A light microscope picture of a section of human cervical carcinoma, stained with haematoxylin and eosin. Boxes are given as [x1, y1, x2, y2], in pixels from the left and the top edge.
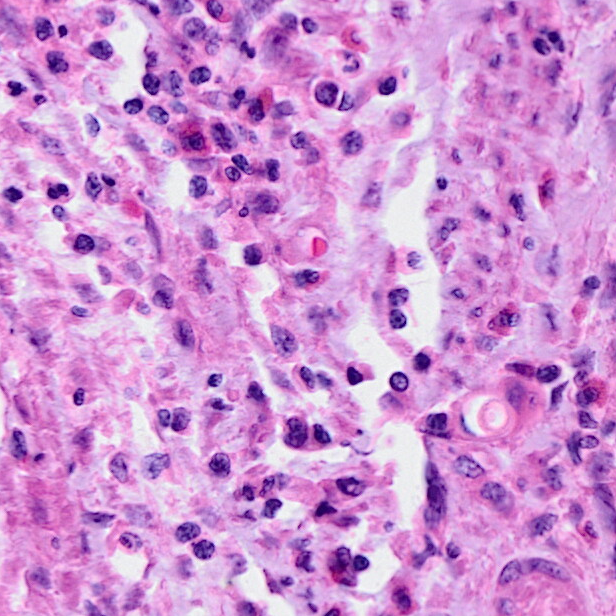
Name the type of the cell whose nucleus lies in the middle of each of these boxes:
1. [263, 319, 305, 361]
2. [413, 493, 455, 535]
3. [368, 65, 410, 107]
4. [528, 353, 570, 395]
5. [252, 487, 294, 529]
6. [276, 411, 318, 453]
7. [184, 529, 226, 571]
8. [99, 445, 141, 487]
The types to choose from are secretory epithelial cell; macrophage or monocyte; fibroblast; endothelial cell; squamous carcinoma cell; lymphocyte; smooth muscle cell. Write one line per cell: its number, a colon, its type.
1: macrophage or monocyte
2: macrophage or monocyte
3: lymphocyte
4: lymphocyte
5: lymphocyte
6: macrophage or monocyte
7: lymphocyte
8: macrophage or monocyte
